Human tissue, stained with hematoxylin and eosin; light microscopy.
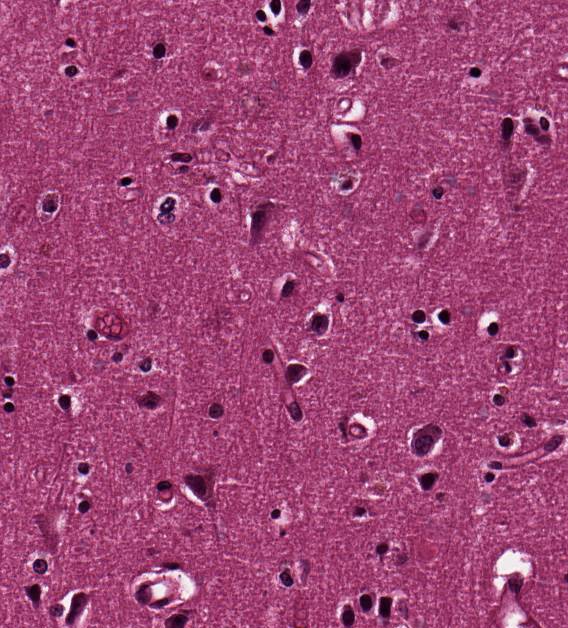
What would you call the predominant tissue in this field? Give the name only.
cerebral cortex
